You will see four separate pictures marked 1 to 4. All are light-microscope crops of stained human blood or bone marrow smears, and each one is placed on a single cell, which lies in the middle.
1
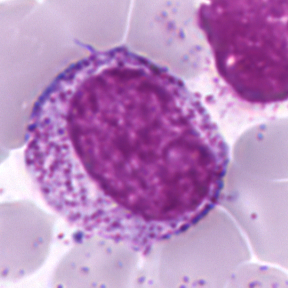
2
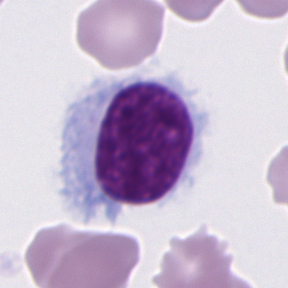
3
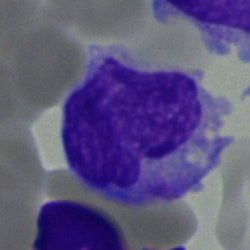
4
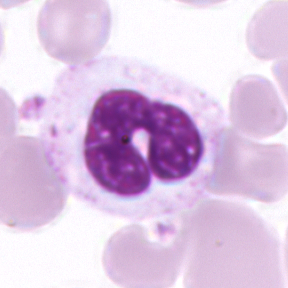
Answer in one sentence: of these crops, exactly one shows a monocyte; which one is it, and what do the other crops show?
Crop 3 is recognised as a monocyte, whereas crop 1 is a myelocyte, crop 2 is a hairy cell and crop 4 is a band neutrophil.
